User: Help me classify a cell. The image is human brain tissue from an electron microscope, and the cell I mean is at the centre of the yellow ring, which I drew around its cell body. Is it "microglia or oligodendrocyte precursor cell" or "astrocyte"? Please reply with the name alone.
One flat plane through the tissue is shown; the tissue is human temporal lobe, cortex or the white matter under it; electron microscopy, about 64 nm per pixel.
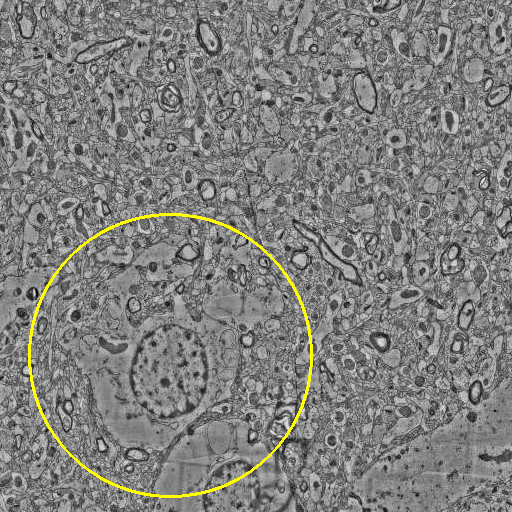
astrocyte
